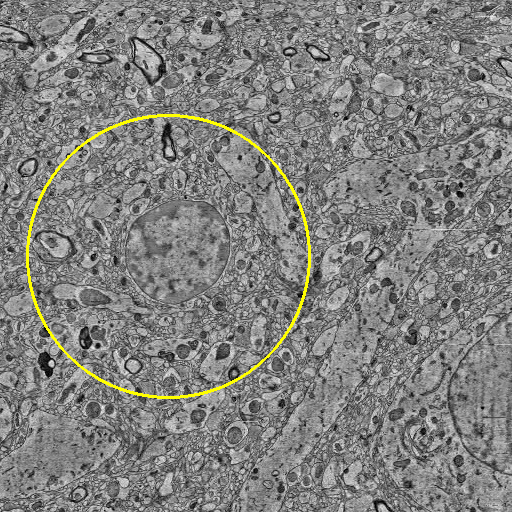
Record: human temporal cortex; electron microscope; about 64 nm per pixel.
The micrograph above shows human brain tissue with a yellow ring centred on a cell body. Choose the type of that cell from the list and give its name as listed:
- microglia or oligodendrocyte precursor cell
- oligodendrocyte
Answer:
microglia or oligodendrocyte precursor cell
